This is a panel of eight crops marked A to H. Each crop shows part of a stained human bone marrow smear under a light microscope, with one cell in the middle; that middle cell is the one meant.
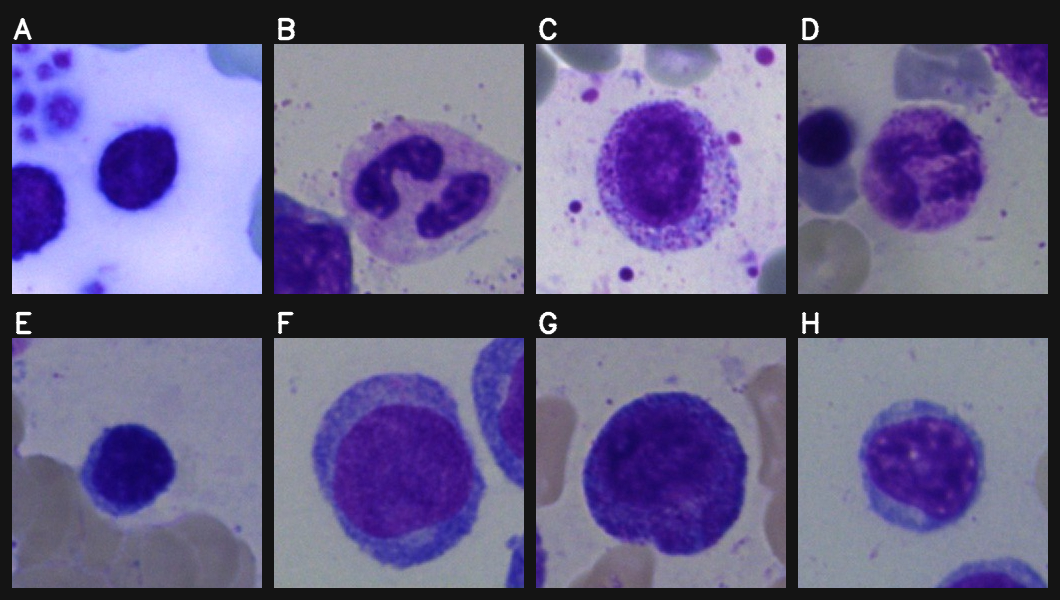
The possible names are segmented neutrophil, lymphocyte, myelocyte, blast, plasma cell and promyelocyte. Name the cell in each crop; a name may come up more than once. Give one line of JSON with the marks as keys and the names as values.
{"A": "lymphocyte", "B": "segmented neutrophil", "C": "myelocyte", "D": "segmented neutrophil", "E": "lymphocyte", "F": "blast", "G": "promyelocyte", "H": "lymphocyte"}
